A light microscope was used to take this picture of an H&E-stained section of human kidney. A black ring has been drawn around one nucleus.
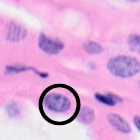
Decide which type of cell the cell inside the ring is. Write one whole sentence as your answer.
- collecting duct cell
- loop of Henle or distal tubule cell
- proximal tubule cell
The cell inside the ring appears to be a loop of Henle or distal tubule cell.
